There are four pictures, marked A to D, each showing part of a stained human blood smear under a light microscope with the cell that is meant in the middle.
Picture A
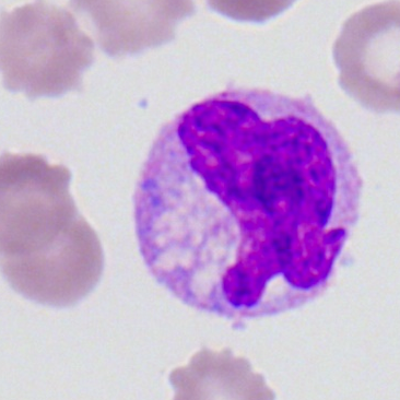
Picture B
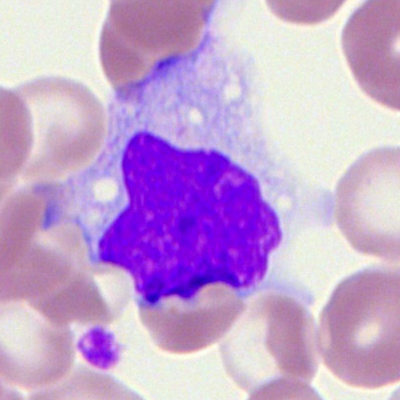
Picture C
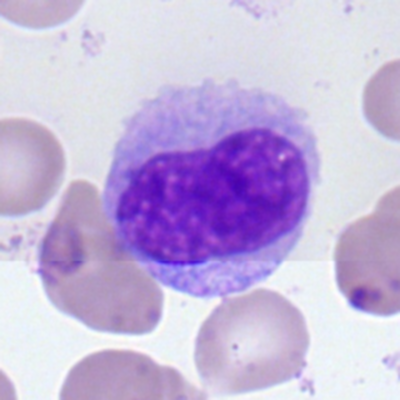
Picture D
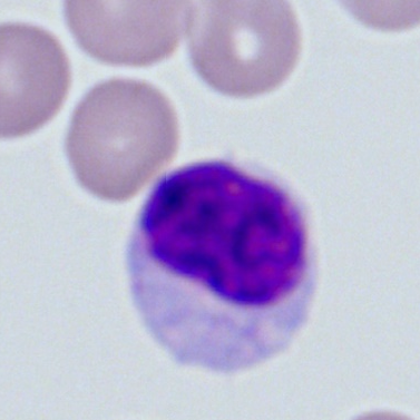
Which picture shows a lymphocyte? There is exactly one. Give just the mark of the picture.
D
